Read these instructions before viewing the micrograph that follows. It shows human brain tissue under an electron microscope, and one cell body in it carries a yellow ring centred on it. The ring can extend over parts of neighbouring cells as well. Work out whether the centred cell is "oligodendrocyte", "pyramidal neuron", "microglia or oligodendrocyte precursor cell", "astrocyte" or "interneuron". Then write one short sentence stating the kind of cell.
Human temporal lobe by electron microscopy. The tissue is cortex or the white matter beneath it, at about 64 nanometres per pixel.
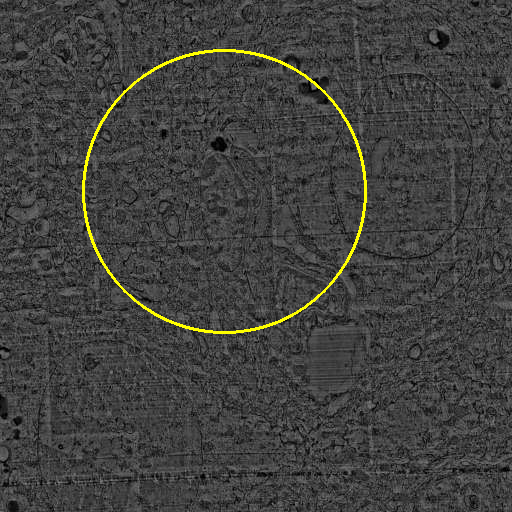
The ringed cell is a microglial cell or oligodendrocyte precursor cell.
